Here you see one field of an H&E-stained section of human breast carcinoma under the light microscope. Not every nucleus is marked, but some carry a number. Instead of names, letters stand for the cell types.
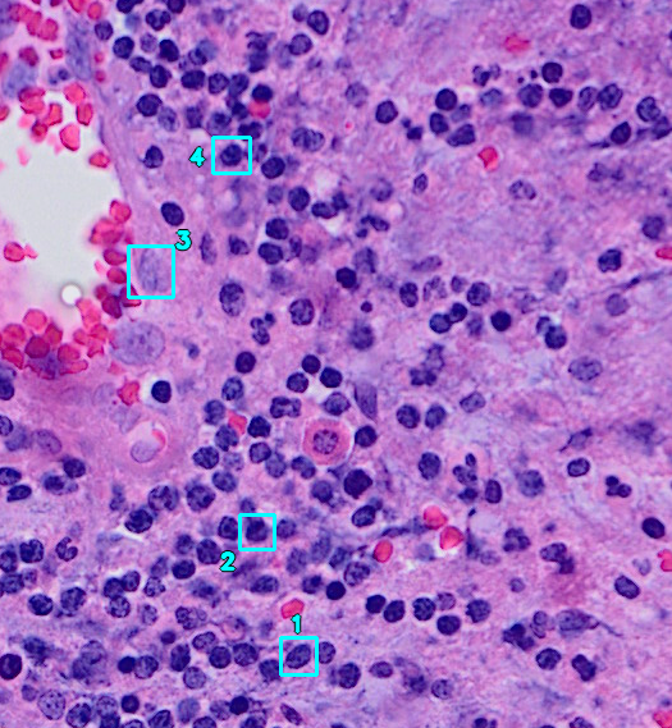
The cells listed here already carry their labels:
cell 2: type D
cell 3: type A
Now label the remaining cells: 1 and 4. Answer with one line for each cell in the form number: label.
1: type D
4: type D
